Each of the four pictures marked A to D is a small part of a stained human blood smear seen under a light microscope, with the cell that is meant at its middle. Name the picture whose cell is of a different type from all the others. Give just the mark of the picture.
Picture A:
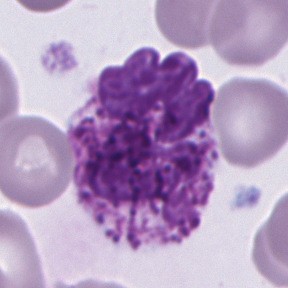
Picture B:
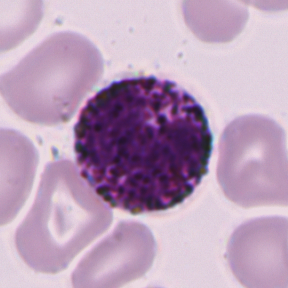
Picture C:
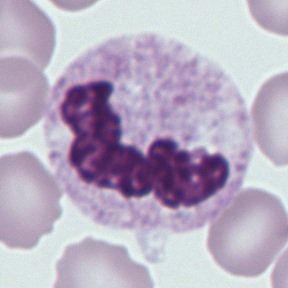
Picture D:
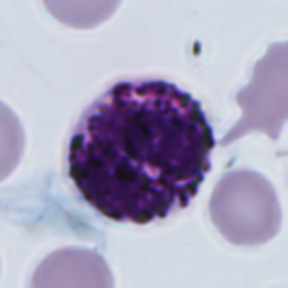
C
